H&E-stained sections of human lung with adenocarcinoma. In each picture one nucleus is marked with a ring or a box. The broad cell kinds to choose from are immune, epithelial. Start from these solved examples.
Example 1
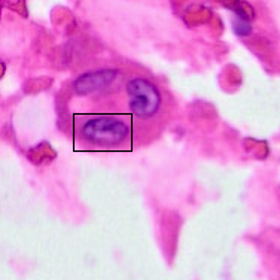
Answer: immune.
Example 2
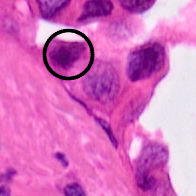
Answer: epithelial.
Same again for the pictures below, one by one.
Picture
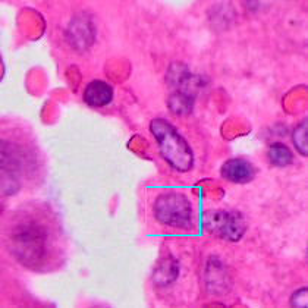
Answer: immune.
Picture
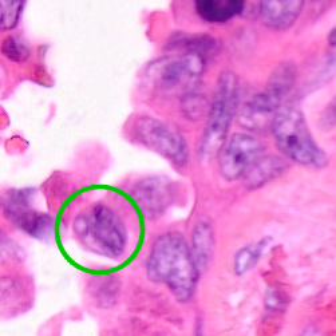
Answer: epithelial.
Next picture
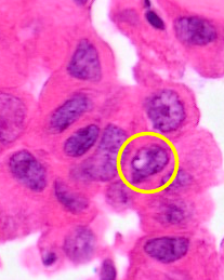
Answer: epithelial.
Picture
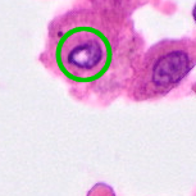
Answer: immune.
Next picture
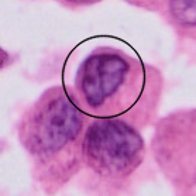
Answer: epithelial.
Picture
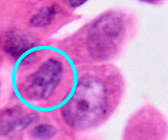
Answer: epithelial.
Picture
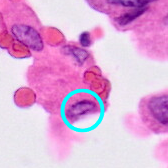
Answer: immune.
